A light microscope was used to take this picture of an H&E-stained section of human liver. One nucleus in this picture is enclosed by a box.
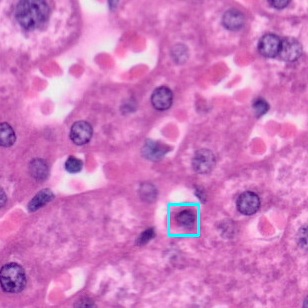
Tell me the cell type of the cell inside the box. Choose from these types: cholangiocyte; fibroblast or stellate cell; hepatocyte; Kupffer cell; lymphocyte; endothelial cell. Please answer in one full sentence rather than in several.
In this tissue sample, the cell inside the box is a Kupffer cell.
